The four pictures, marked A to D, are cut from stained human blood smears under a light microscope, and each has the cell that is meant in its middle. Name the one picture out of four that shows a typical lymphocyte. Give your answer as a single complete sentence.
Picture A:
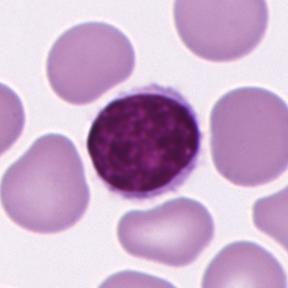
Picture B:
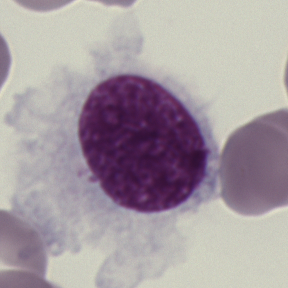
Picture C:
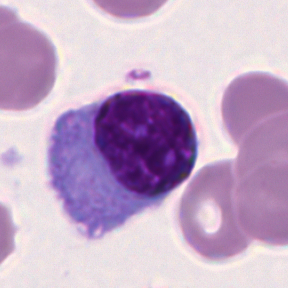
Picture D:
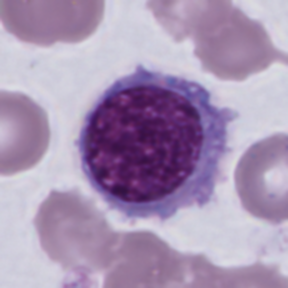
Picture A is the one that shows the typical lymphocyte.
